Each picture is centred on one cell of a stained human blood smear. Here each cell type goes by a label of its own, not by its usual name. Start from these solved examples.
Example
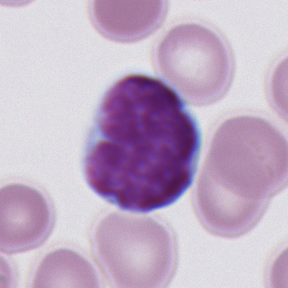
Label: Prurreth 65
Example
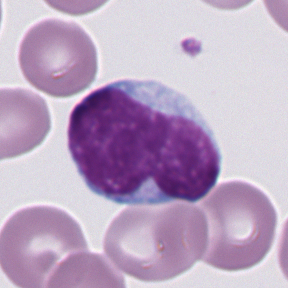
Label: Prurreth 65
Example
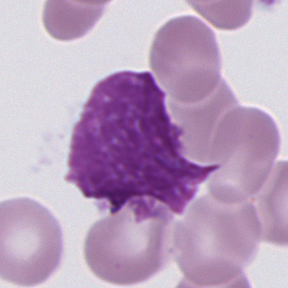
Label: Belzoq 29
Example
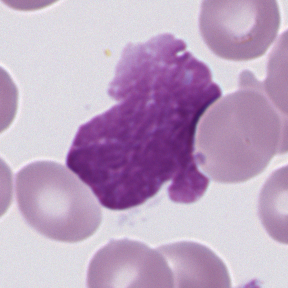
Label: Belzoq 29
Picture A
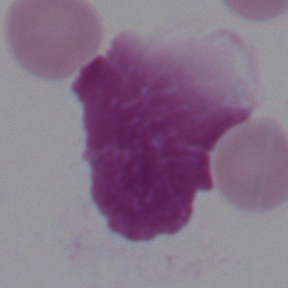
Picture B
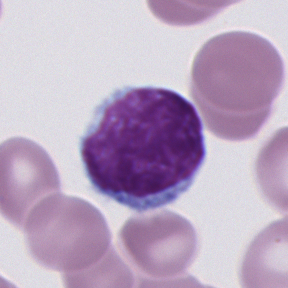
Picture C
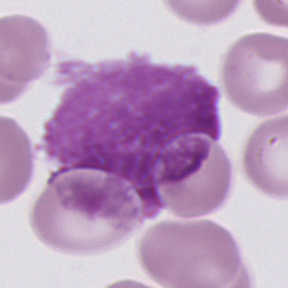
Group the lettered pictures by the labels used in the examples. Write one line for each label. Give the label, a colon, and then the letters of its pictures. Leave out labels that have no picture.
Prurreth 65: B
Belzoq 29: A, C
